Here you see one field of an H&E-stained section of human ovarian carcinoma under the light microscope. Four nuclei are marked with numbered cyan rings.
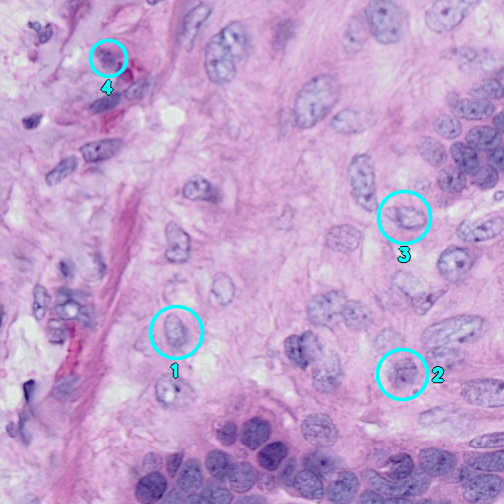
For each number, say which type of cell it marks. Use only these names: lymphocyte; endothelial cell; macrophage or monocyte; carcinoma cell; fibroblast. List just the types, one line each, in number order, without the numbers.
fibroblast
fibroblast
fibroblast
endothelial cell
